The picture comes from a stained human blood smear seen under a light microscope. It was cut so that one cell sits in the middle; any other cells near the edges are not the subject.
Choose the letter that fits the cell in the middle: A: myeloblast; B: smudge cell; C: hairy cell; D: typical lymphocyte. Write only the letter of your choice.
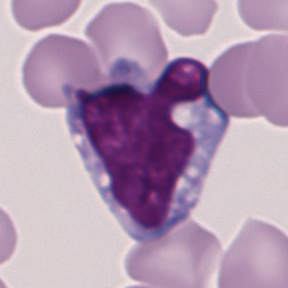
D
